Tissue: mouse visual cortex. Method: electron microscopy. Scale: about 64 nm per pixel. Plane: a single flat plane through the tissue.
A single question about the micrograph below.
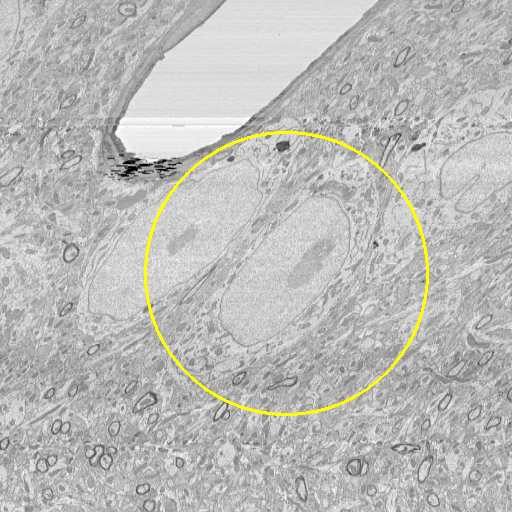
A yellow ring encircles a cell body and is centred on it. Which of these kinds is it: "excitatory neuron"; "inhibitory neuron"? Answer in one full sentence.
The cell body at the centre of the yellow ring belongs to an inhibitory neuron.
